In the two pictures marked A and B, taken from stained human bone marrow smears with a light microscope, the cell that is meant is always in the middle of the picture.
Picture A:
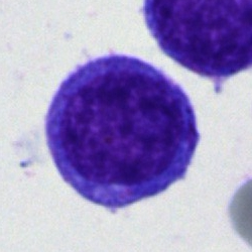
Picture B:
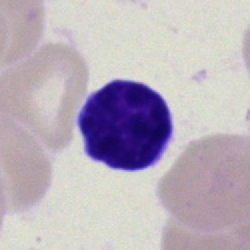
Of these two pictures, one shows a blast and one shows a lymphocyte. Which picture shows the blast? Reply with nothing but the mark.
A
